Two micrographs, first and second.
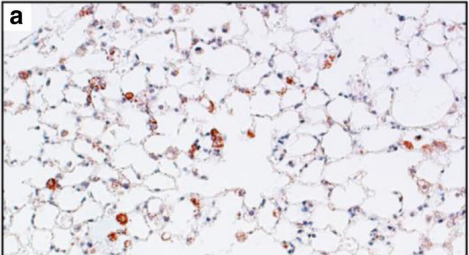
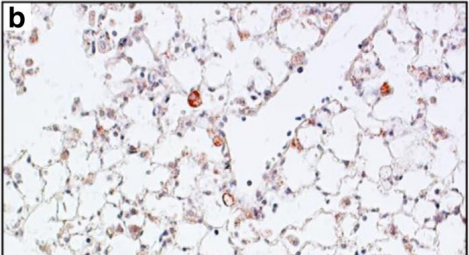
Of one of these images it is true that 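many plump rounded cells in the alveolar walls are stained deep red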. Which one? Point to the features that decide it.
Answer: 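The first image. Second image: only a few deep red rounded cells are scattered in the walls. First image: numerous deep red rounded cells are scattered throughout the alveolar walls.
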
